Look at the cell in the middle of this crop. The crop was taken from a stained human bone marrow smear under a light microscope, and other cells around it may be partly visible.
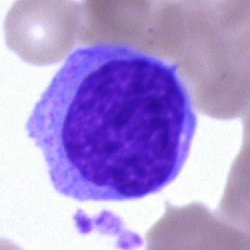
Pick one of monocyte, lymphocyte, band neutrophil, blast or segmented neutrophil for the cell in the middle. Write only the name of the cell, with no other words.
blast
